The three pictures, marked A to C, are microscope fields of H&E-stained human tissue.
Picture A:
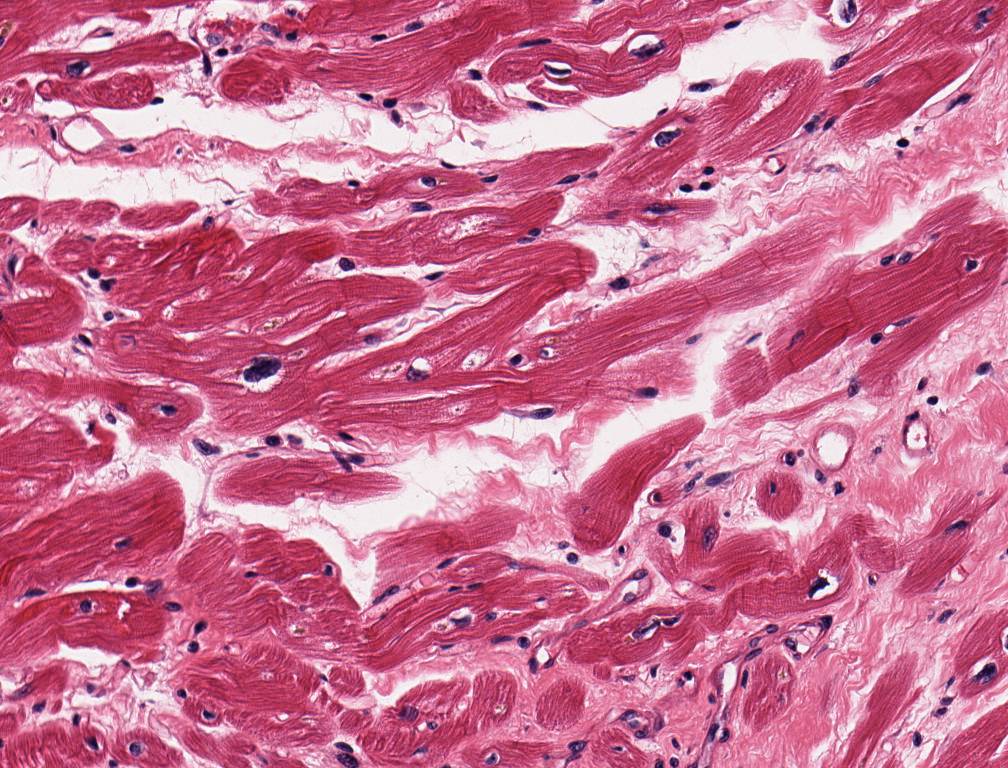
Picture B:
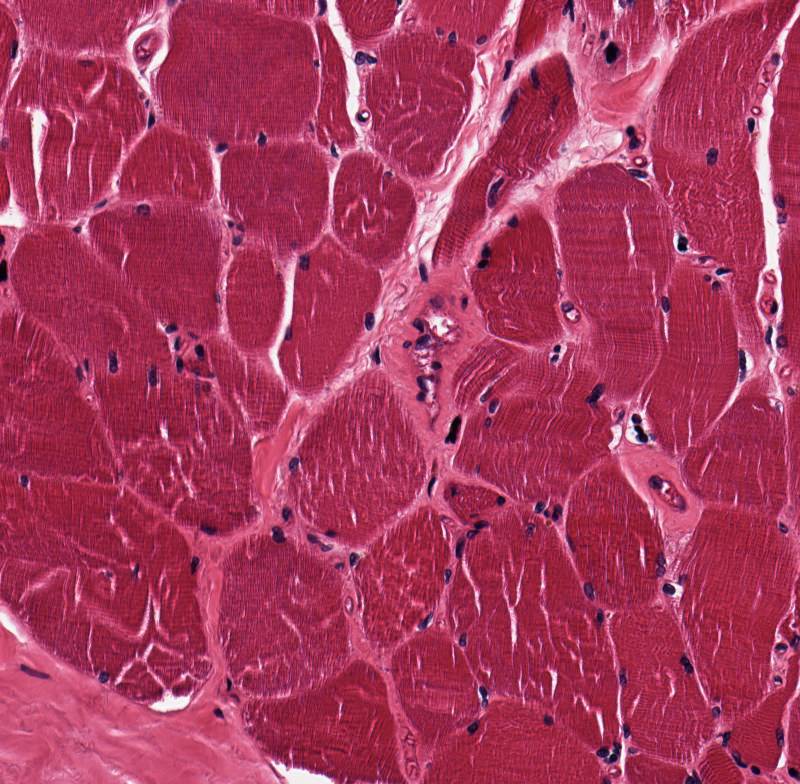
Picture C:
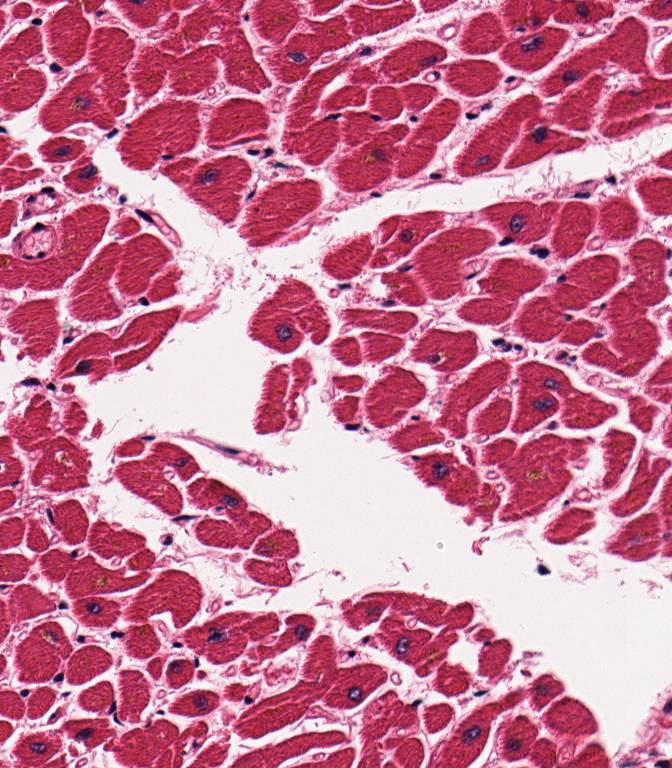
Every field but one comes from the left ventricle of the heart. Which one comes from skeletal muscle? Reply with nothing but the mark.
B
